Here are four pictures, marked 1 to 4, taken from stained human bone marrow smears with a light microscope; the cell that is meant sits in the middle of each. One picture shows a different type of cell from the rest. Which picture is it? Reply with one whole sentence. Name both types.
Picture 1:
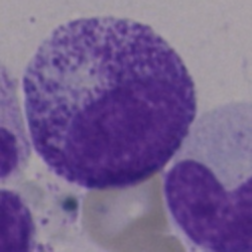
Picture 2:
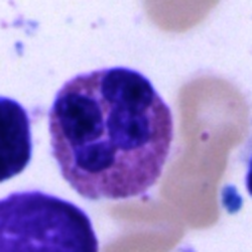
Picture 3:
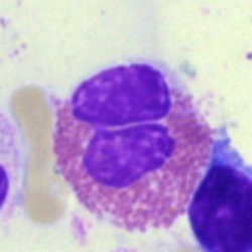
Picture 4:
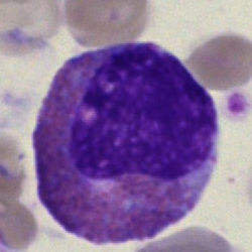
Picture 1 differs, because its cell is a promyelocyte and the rest are eosinophils.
